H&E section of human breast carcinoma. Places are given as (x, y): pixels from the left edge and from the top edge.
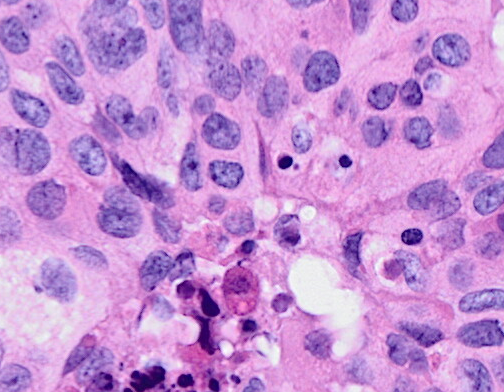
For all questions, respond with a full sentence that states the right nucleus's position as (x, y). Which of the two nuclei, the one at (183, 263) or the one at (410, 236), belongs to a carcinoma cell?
Of these two nuclei, it is the one at (183, 263) that belongs to a carcinoma cell.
